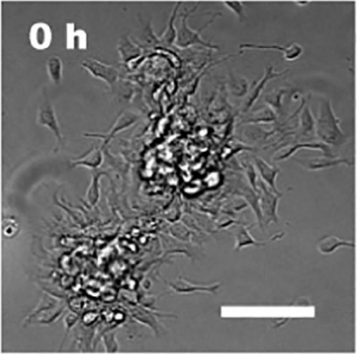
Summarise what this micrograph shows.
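A large compact cluster of small, rounded, tightly packed cells lies in the centre, and a second, looser cluster lies at the lower left. The cells in the clusters are refractile and their outlines crowd together so that single cells are hard to separate. From the edges of the clusters, flattened single cells have spread onto the dish surface; these carry thin, branching processes that reach out in several directions.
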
